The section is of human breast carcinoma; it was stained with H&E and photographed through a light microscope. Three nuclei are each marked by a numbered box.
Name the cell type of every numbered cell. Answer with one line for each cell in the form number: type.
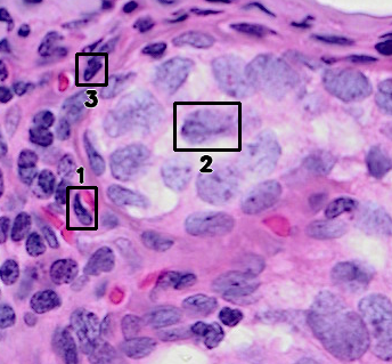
1: endothelial cell
2: carcinoma cell
3: lymphocyte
